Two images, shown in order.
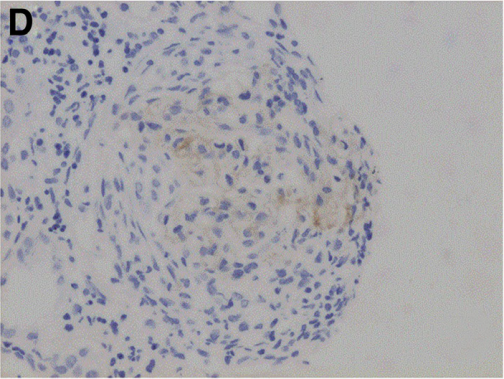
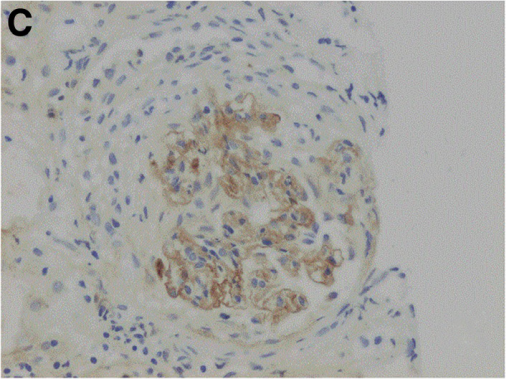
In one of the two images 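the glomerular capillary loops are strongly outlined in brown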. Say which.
The second image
